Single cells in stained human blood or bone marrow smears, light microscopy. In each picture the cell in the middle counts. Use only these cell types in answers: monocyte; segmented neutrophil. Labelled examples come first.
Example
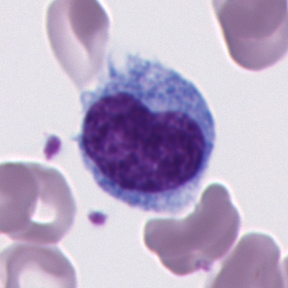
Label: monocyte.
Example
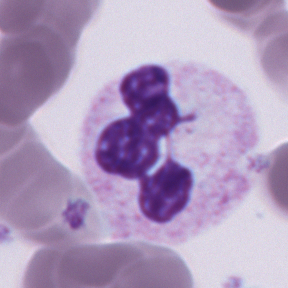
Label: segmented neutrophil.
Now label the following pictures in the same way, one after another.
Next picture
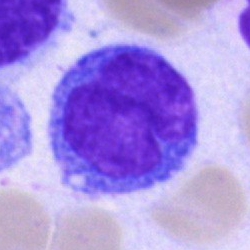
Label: monocyte.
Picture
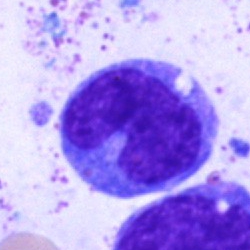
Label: monocyte.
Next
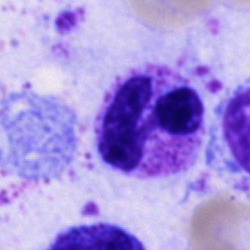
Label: segmented neutrophil.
